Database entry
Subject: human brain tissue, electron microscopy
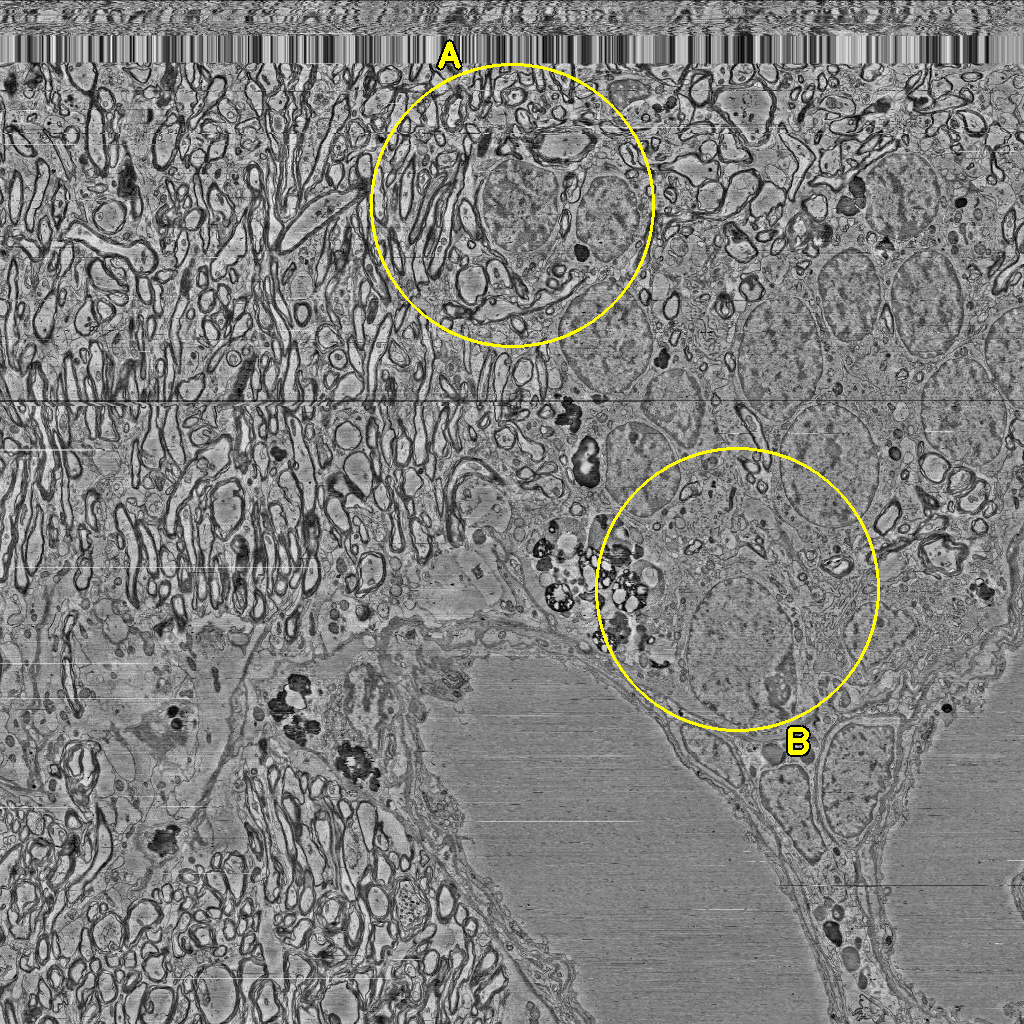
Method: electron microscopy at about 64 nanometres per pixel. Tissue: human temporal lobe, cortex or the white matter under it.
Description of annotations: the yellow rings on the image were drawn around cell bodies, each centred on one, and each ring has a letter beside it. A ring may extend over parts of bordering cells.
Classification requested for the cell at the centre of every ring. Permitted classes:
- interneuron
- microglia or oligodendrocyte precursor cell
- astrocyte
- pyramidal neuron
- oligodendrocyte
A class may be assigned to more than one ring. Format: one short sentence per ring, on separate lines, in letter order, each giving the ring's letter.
The cell body at the centre of ring A is an oligodendrocyte.
The cell body at the centre of ring B is an astrocyte.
